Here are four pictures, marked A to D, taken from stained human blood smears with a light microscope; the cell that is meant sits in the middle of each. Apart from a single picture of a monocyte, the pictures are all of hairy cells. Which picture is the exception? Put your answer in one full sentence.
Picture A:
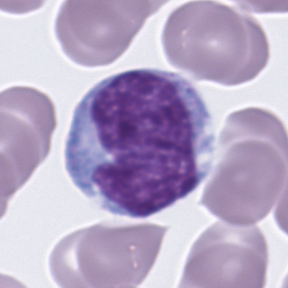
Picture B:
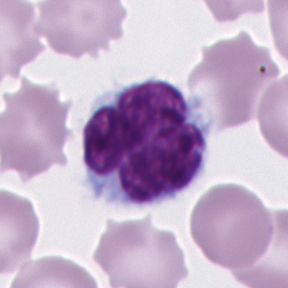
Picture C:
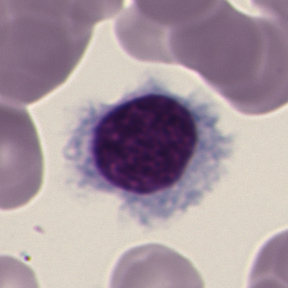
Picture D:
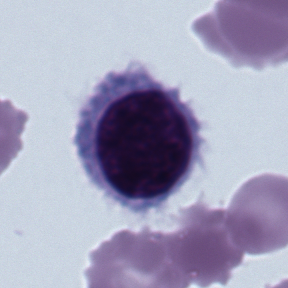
The cell in picture A is the monocyte.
